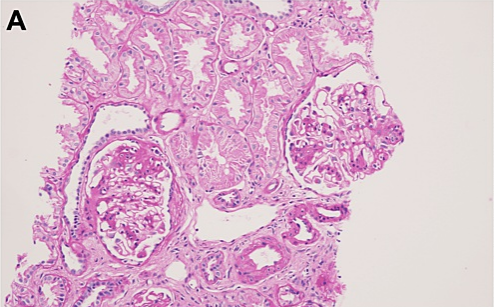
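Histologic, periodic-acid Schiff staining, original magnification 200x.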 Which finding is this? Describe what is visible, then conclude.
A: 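Focal segmental glomerulosclerosis. Two round glomeruli lie among tubules.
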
